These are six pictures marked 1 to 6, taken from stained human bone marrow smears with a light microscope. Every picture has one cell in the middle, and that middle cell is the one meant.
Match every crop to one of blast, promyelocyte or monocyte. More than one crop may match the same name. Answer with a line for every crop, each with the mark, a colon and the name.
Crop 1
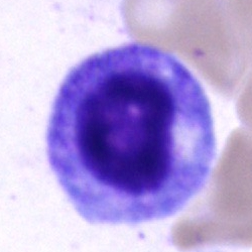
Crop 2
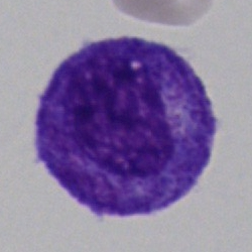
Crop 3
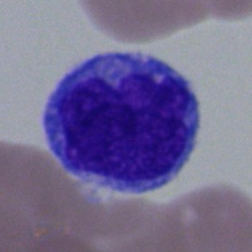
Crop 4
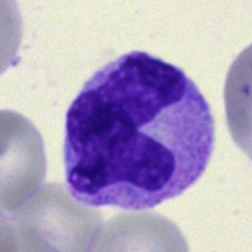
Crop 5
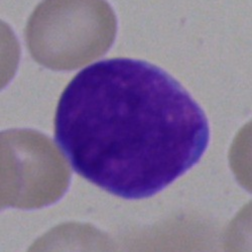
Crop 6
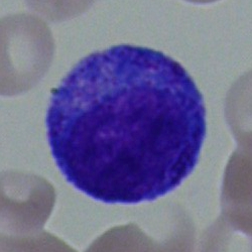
1: promyelocyte
2: promyelocyte
3: monocyte
4: monocyte
5: blast
6: promyelocyte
